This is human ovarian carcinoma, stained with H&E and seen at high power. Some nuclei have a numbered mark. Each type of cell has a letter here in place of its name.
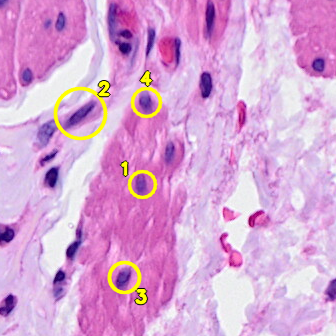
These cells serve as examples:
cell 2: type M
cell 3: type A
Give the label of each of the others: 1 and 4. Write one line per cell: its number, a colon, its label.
1: type A
4: type A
